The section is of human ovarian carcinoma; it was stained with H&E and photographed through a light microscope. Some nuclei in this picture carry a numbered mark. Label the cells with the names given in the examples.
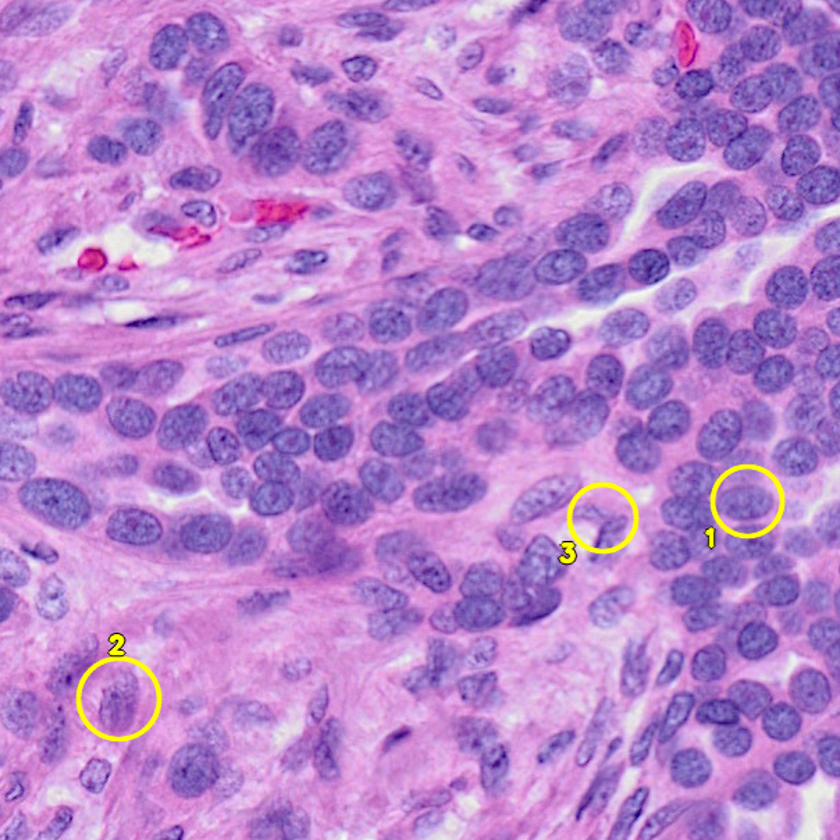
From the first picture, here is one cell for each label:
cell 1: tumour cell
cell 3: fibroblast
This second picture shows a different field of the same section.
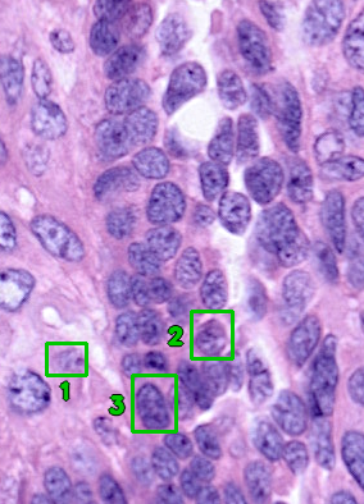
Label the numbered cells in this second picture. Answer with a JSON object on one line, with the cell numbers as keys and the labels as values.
{"1": "fibroblast", "2": "tumour cell", "3": "tumour cell"}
